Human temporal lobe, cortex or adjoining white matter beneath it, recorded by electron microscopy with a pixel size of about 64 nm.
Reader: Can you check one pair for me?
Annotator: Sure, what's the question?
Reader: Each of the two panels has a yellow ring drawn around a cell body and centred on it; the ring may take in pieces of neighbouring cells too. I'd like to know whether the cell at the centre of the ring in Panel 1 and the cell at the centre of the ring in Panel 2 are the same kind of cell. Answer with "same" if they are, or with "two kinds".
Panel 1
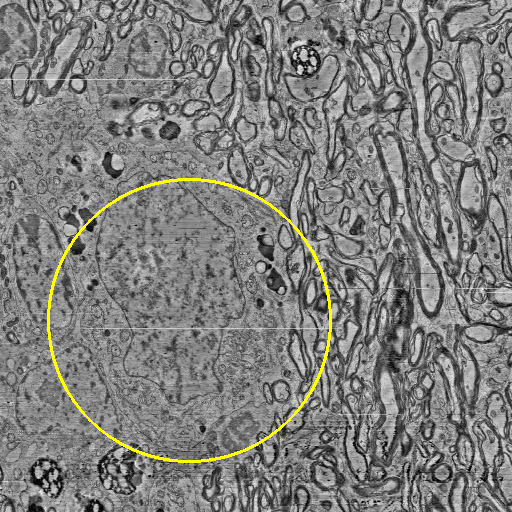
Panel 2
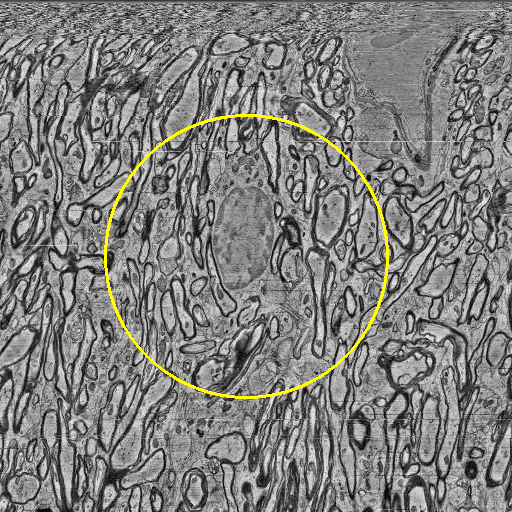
two kinds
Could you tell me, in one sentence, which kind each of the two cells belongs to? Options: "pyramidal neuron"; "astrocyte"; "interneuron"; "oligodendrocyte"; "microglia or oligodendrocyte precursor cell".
At the centre of the first ring sits a pyramidal neuron, and at the centre of the second sits an oligodendrocyte.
